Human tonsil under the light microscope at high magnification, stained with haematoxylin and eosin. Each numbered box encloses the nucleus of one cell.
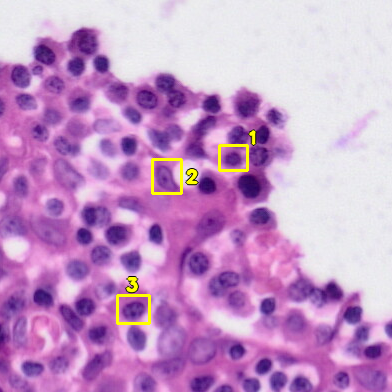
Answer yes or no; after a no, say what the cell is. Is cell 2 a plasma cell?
No, it is a squamous epithelial cell.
